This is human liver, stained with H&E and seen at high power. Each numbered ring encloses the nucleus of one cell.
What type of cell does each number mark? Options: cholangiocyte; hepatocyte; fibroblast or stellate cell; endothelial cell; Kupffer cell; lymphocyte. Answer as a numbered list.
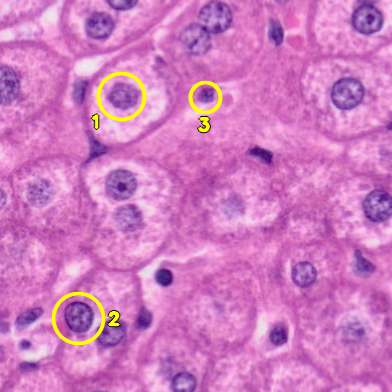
1. hepatocyte
2. hepatocyte
3. lymphocyte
